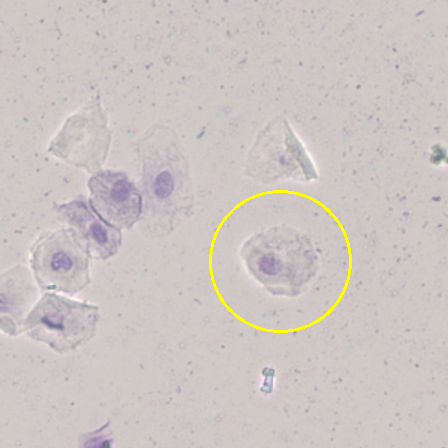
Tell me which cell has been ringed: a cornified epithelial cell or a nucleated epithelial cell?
It is a nucleated epithelial cell.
